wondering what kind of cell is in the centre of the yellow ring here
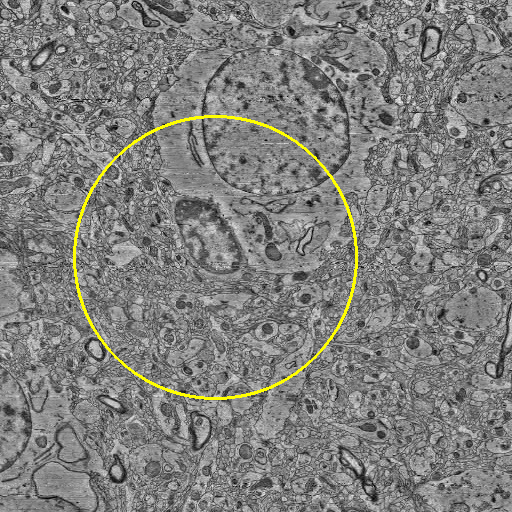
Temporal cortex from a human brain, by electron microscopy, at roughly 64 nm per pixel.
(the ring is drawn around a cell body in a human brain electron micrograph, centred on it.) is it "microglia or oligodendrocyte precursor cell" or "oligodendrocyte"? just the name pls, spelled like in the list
oligodendrocyte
